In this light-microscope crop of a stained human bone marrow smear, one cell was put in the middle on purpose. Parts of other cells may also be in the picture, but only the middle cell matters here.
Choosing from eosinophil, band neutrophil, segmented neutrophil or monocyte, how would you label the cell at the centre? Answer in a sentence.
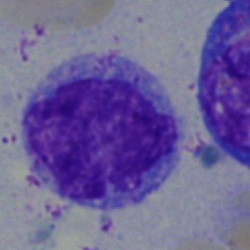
The identification for the central cell is a monocyte.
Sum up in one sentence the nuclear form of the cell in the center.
The nuclear material is gathered into one compact round, oval or kidney-shaped mass.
